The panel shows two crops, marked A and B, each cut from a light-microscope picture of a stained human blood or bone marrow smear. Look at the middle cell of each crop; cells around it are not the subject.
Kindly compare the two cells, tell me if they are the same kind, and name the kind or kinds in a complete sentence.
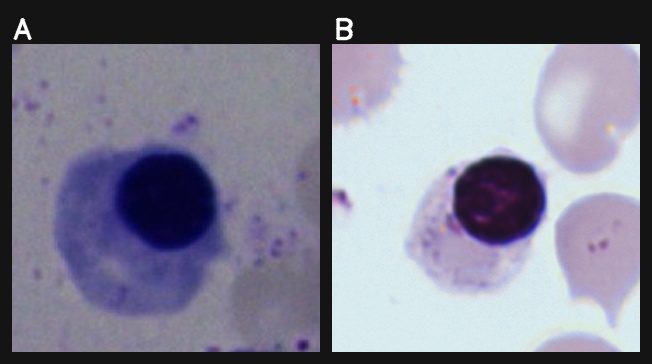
Yes, normoblasts are depicted in both crops.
